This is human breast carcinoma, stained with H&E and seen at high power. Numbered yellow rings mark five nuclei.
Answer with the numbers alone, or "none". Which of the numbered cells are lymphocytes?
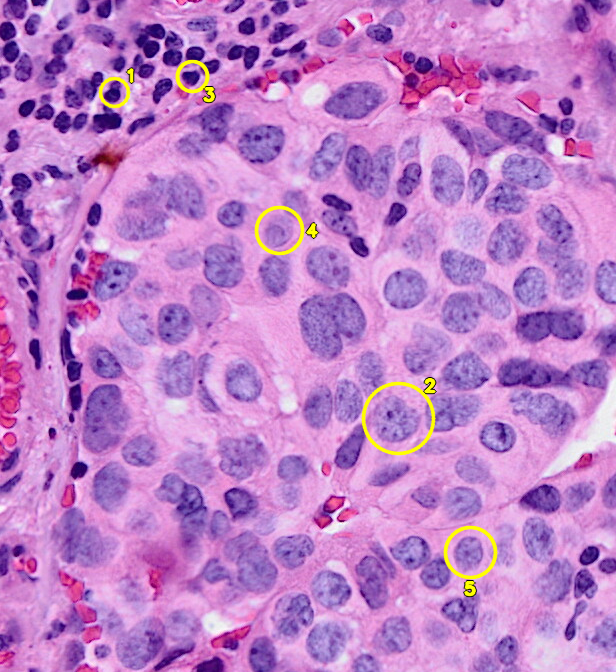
1, 3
